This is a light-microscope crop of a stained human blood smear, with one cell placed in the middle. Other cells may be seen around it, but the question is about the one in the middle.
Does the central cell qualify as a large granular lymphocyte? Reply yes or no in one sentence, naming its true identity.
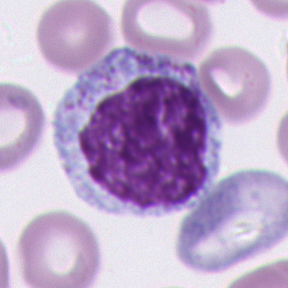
No, the central cell is identified not as a large granular lymphocyte but as a myelocyte.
